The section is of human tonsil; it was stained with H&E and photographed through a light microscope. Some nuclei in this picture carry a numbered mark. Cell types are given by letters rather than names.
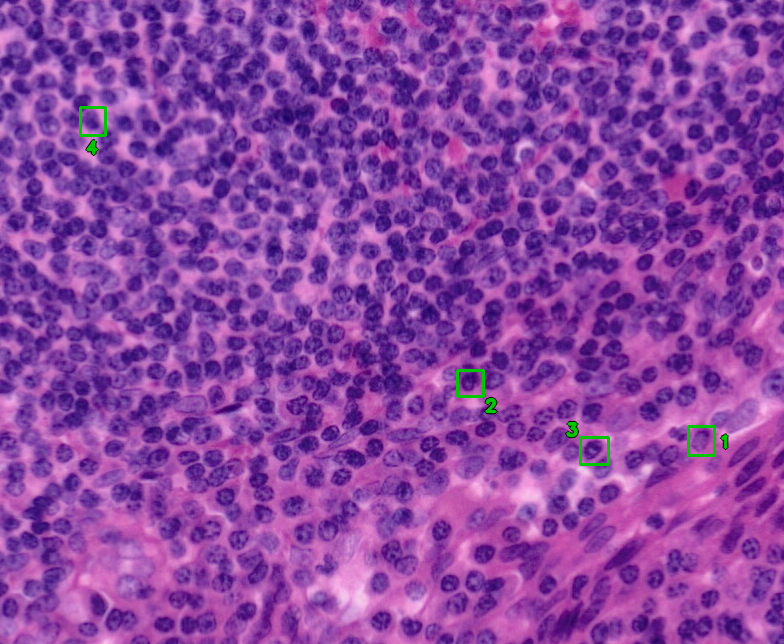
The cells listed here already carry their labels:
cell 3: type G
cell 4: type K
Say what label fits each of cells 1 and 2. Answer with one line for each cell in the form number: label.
1: type G
2: type G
